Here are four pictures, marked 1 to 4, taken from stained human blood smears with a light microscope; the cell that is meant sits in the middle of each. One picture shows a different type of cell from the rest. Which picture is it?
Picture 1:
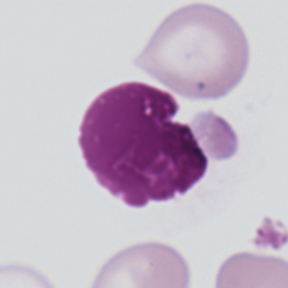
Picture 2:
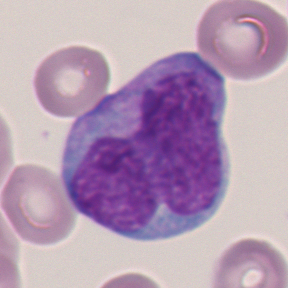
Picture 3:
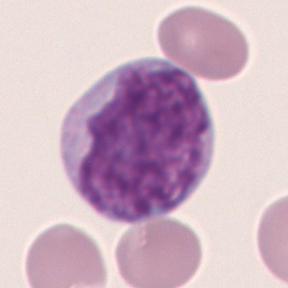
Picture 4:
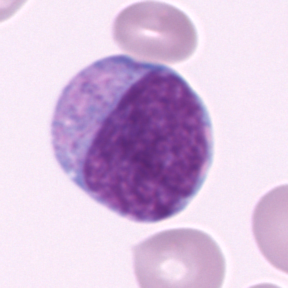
1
